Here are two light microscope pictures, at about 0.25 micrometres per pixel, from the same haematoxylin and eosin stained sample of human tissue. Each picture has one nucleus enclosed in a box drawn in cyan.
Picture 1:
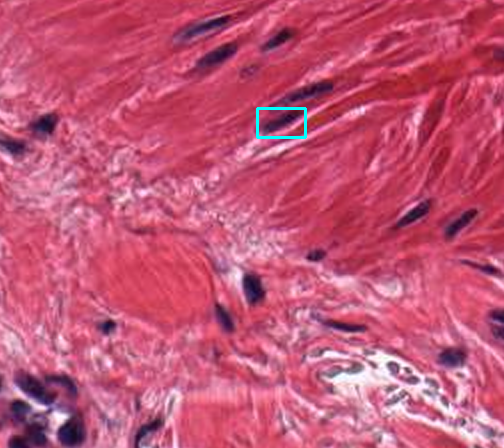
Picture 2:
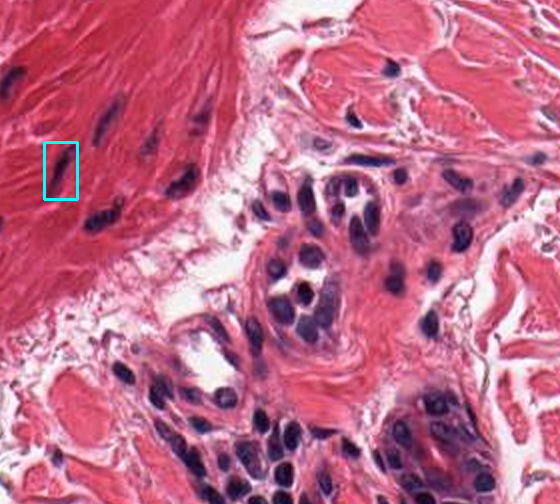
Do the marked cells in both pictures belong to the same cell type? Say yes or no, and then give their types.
Yes, both are smooth muscle cells.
